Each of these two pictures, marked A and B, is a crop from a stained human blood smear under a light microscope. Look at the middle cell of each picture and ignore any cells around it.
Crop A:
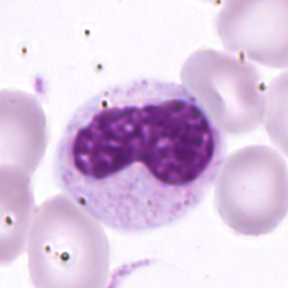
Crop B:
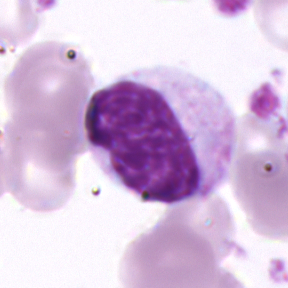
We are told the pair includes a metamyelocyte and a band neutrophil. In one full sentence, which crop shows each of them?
The one in crop A is a band neutrophil, and the one in crop B is a metamyelocyte.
